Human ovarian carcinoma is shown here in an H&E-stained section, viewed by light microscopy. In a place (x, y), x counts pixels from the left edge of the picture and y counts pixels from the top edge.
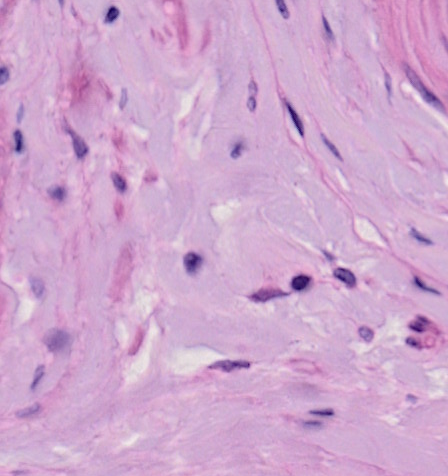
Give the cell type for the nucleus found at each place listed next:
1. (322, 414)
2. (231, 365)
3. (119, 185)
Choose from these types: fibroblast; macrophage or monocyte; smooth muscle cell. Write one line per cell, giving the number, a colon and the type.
1: fibroblast
2: fibroblast
3: smooth muscle cell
